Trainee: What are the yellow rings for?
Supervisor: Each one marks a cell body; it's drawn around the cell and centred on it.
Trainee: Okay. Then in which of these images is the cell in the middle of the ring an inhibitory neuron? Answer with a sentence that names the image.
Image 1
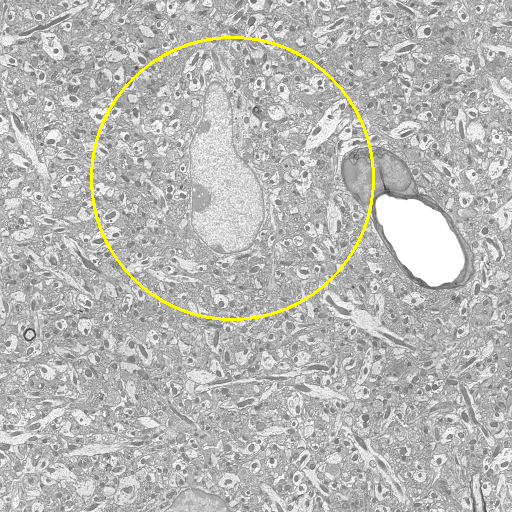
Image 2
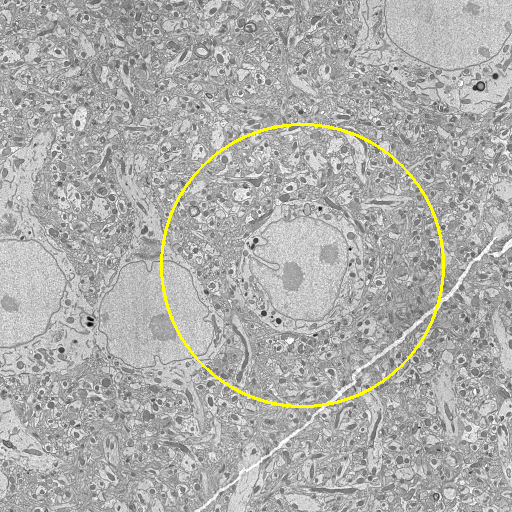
Image 2 has it in the middle of the ring.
